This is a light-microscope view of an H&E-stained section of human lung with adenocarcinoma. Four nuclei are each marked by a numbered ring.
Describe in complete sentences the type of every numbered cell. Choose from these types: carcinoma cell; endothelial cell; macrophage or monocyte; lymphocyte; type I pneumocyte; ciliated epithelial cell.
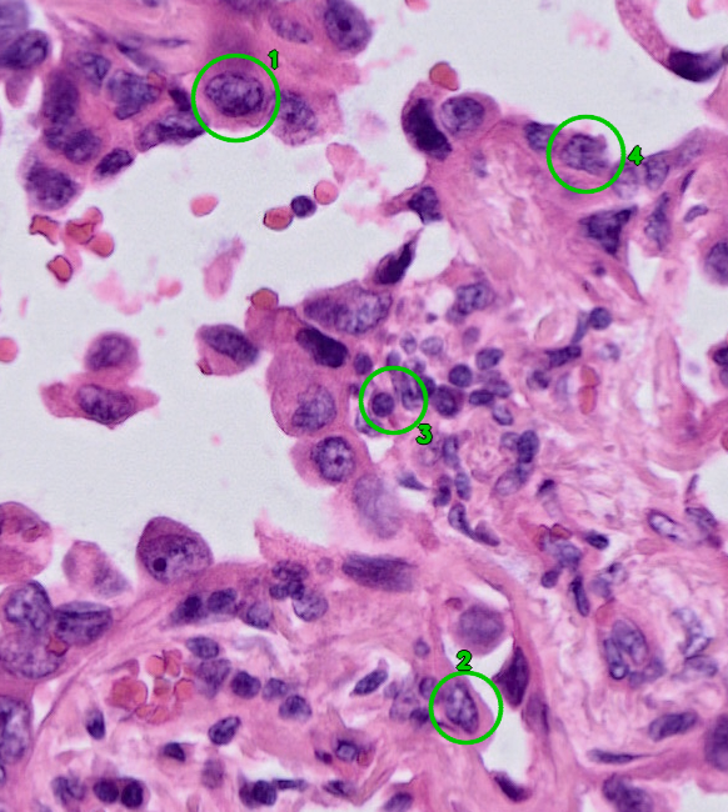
Cell 1 is a carcinoma cell, cell 2 is a carcinoma cell, cell 3 is a lymphocyte and cell 4 is a carcinoma cell.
